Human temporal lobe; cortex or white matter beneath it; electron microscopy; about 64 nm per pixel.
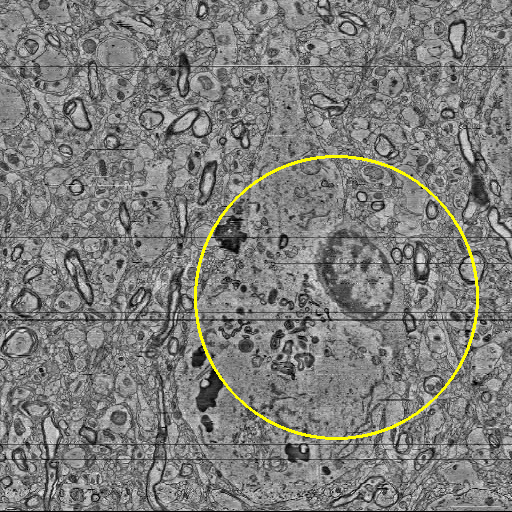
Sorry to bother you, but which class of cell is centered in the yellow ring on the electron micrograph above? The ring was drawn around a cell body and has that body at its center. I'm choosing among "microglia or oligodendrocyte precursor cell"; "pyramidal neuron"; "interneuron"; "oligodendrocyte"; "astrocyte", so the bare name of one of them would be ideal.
oligodendrocyte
